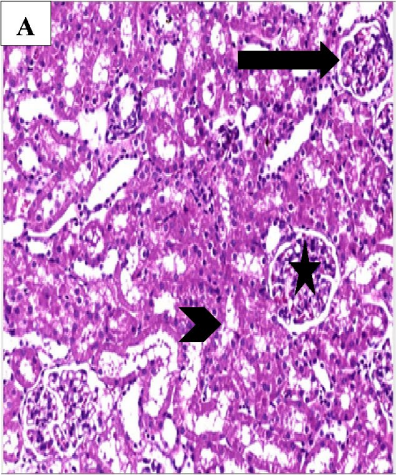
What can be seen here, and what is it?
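Renal cortex with round glomeruli whose cellular tufts nearly fill their capsules, leaving a thin clear space under a thin capsular wall. Around them lie closely packed tubules in cross and oblique section, lined by pink-staining cuboidal cells with round dark nuclei and small open lumens.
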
